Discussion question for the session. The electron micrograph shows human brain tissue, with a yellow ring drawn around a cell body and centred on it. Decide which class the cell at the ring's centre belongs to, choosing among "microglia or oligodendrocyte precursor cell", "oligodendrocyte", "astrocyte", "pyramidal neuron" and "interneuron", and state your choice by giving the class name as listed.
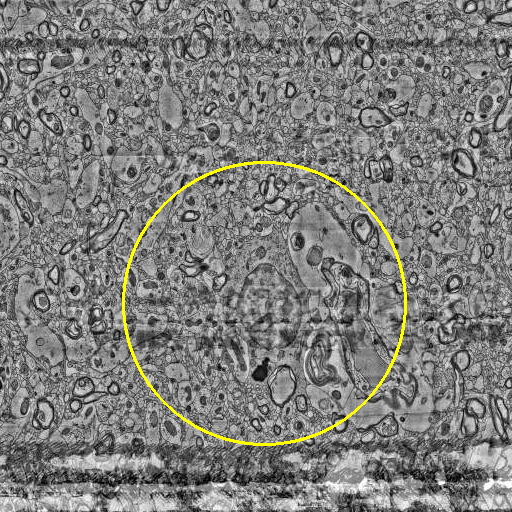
oligodendrocyte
